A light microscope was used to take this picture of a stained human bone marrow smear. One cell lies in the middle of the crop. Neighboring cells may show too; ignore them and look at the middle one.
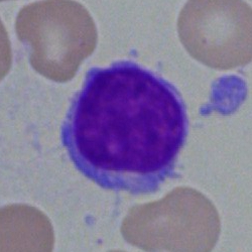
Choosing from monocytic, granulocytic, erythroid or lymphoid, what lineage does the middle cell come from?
lymphoid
